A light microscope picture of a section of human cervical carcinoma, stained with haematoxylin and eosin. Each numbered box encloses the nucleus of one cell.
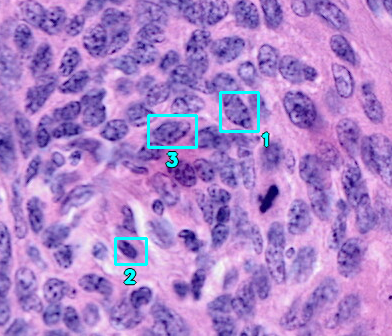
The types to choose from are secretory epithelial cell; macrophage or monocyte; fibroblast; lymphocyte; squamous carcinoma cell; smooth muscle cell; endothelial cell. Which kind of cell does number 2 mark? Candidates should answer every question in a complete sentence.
The one numbered 2 among the marked cells is a lymphocyte.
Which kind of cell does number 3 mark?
The cell given label 3 is a squamous carcinoma cell.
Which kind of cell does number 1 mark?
The cell marked with number 1 is a squamous carcinoma cell.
